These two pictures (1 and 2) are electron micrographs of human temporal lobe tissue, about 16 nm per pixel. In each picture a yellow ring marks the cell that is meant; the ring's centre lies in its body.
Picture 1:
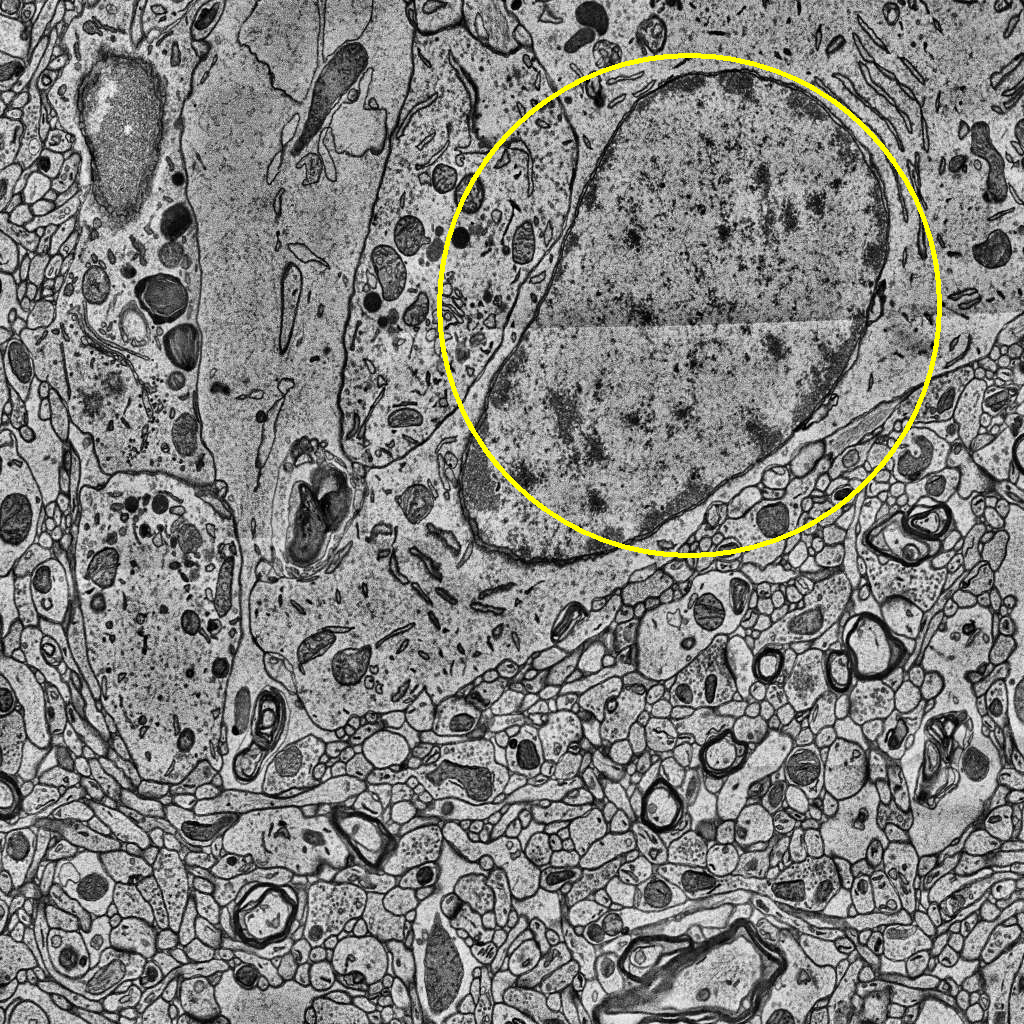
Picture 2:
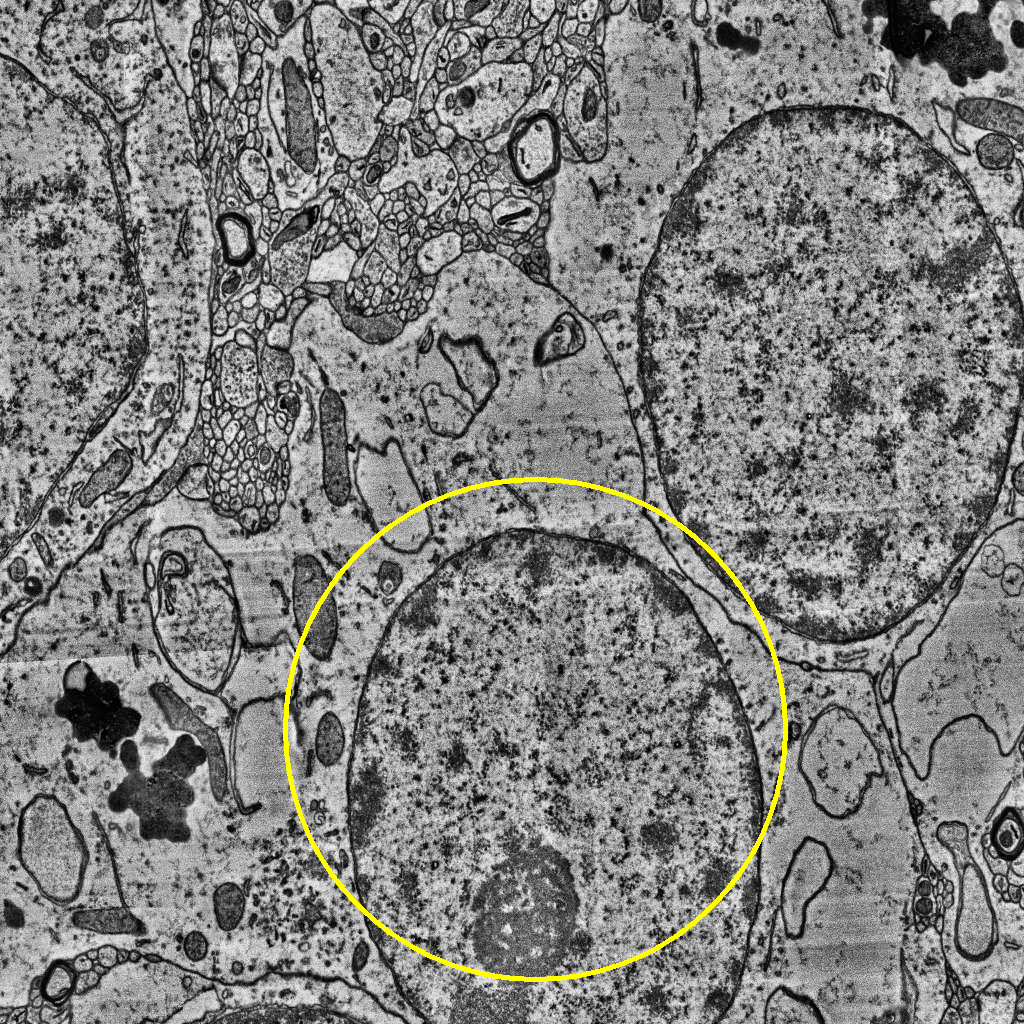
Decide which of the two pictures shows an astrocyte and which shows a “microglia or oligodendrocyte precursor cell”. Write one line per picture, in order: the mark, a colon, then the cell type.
1: microglia or oligodendrocyte precursor cell
2: astrocyte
